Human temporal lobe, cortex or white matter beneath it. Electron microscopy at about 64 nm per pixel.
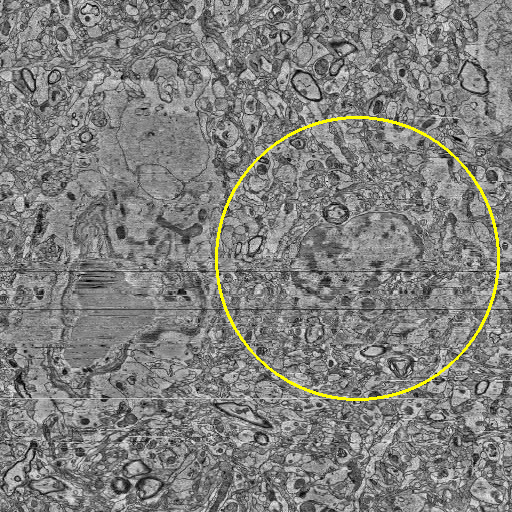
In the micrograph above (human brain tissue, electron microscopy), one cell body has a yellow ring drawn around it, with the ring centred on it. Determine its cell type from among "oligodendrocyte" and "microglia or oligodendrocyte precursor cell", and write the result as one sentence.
The cell whose body is ringed is a microglial cell or oligodendrocyte precursor cell.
